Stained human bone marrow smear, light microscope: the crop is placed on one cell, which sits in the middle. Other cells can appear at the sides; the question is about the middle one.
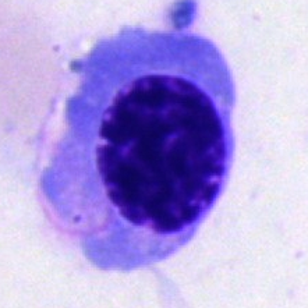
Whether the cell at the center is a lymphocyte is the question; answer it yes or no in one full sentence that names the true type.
No, the cell placed in the centre is an erythroblast and is not a lymphocyte.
